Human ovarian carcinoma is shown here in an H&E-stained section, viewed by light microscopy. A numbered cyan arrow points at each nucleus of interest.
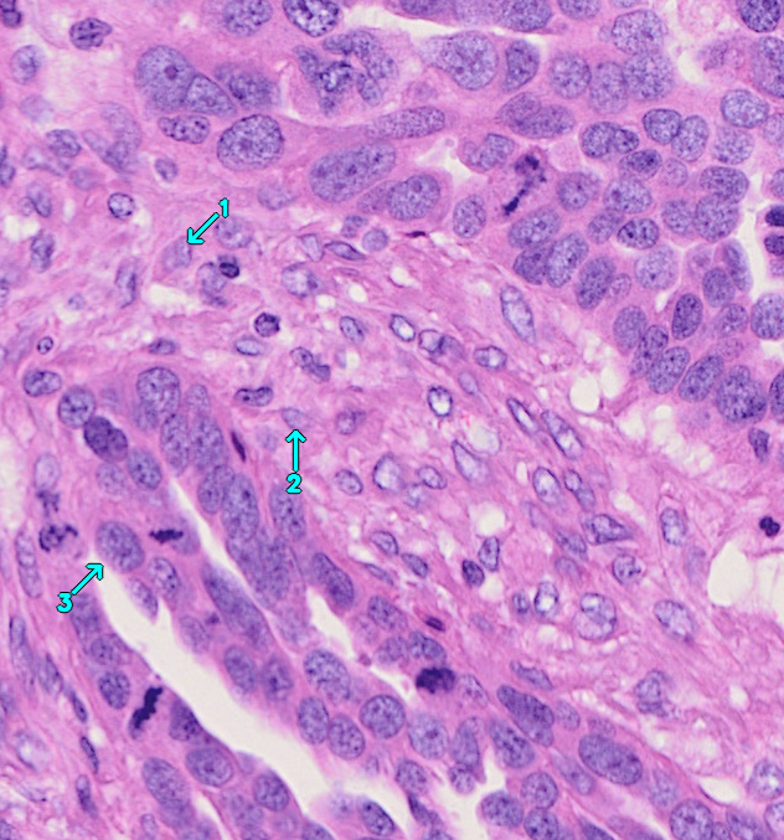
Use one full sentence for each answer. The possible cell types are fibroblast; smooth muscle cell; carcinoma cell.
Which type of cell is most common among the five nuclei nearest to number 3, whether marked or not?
Of the five nuclei nearest to number 3, most belong to carcinoma cells.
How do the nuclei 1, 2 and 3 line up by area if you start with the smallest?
Smallest first, the nuclei run 2, 1, 3.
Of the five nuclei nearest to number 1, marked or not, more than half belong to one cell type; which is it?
Fibroblasts make up most of the five nuclei closest to number 1.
